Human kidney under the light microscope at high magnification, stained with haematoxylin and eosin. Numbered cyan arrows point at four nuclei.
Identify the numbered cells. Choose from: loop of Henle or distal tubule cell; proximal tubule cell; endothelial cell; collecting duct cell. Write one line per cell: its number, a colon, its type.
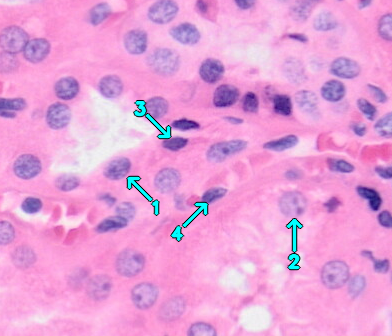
1: loop of Henle or distal tubule cell
2: proximal tubule cell
3: loop of Henle or distal tubule cell
4: endothelial cell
